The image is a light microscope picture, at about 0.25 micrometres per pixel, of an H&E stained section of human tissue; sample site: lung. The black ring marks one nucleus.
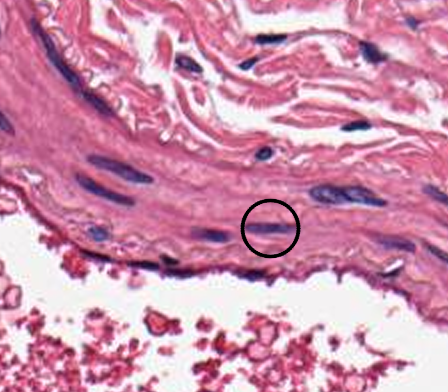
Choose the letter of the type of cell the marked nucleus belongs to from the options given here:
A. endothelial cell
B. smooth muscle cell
B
